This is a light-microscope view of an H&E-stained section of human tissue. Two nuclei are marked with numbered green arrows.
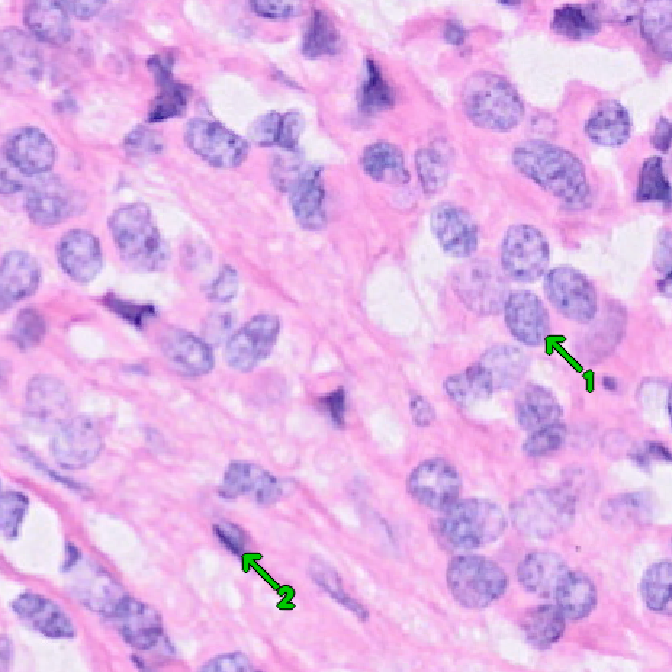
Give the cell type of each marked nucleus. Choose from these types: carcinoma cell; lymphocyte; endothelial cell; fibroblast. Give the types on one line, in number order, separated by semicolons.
carcinoma cell; endothelial cell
